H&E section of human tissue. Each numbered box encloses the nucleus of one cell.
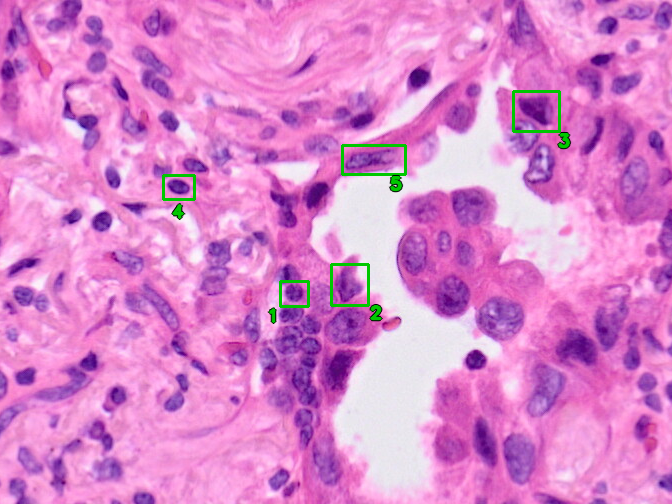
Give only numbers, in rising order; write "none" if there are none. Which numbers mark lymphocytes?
1, 4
